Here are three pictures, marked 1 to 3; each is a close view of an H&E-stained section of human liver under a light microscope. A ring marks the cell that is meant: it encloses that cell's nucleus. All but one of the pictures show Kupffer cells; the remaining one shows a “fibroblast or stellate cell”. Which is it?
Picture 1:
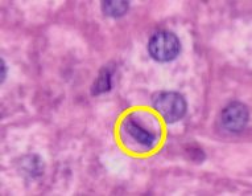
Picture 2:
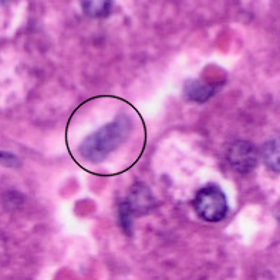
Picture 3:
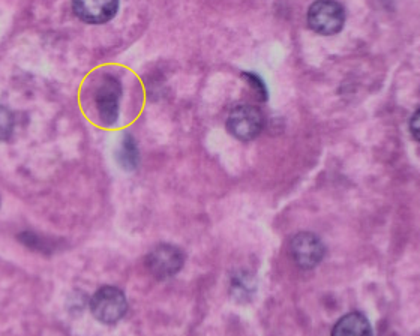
1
